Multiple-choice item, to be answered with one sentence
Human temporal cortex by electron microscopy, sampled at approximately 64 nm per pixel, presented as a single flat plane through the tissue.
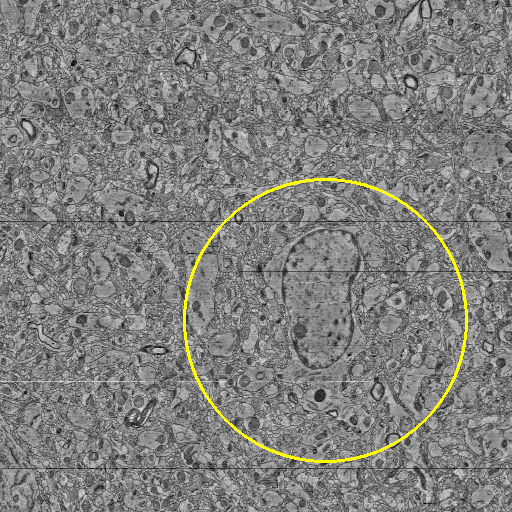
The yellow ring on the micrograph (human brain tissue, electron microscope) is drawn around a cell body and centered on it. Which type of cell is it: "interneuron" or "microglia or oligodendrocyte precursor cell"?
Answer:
The ring is centered on a microglial cell or oligodendrocyte precursor cell.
